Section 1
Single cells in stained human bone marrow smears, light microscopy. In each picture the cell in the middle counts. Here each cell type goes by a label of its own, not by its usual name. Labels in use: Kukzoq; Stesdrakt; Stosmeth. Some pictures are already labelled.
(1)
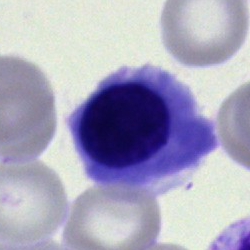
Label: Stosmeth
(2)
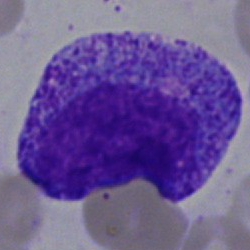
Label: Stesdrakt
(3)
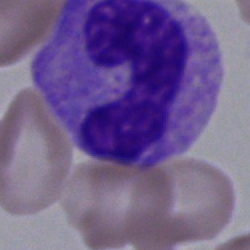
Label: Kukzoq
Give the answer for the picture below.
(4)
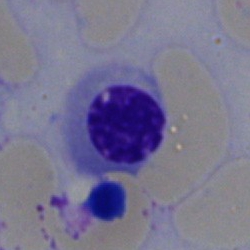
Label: Stosmeth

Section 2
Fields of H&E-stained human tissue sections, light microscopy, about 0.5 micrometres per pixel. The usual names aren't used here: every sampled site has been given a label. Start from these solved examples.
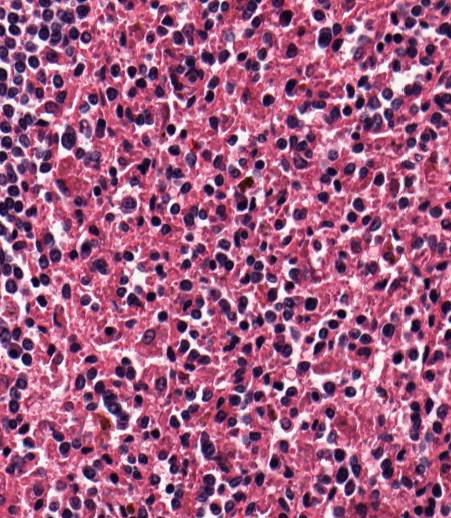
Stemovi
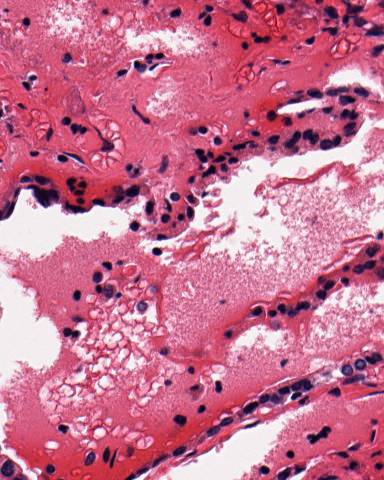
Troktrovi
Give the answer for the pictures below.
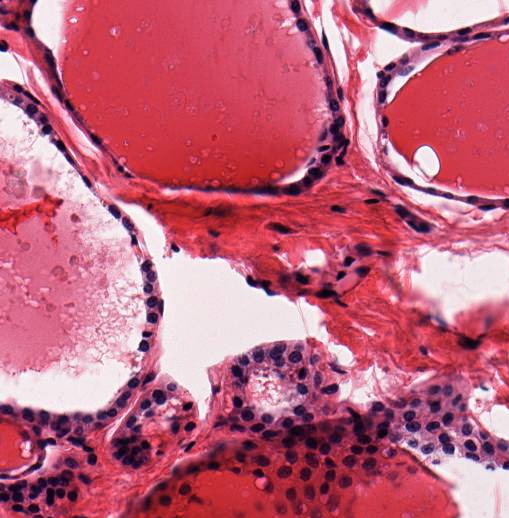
Troktrovi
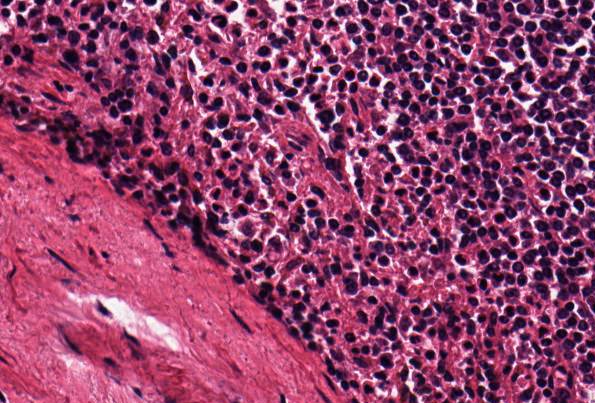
Stemovi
